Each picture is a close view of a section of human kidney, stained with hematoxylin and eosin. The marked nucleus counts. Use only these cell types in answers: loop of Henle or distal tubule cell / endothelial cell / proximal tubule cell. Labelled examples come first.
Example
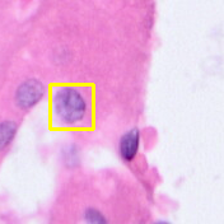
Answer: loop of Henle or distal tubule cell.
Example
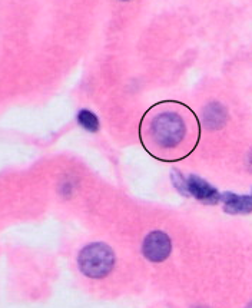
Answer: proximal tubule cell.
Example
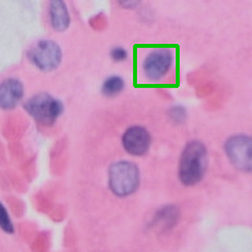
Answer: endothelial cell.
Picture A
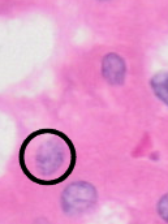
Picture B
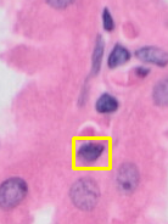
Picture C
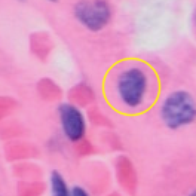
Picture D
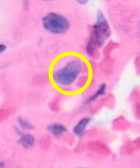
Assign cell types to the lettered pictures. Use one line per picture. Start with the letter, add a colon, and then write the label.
A: proximal tubule cell.
B: endothelial cell.
C: loop of Henle or distal tubule cell.
D: endothelial cell.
